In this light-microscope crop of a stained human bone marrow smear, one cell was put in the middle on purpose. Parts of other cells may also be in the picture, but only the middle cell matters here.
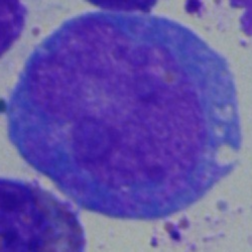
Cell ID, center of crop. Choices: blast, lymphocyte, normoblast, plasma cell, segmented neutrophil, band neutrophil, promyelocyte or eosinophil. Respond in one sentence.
In this smear crop, the middle cell is a promyelocyte.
